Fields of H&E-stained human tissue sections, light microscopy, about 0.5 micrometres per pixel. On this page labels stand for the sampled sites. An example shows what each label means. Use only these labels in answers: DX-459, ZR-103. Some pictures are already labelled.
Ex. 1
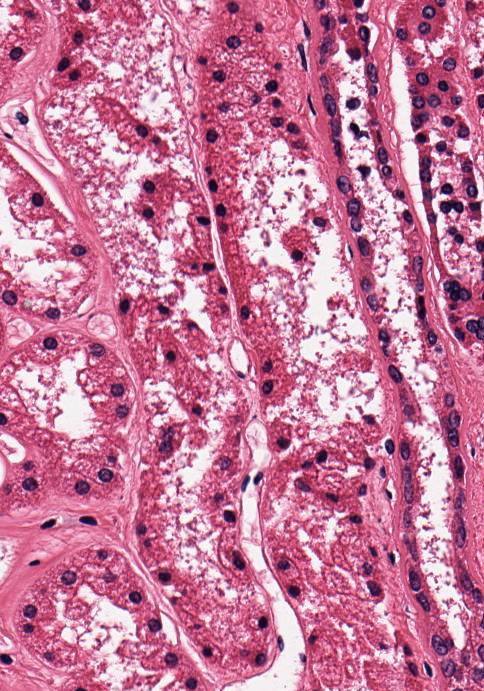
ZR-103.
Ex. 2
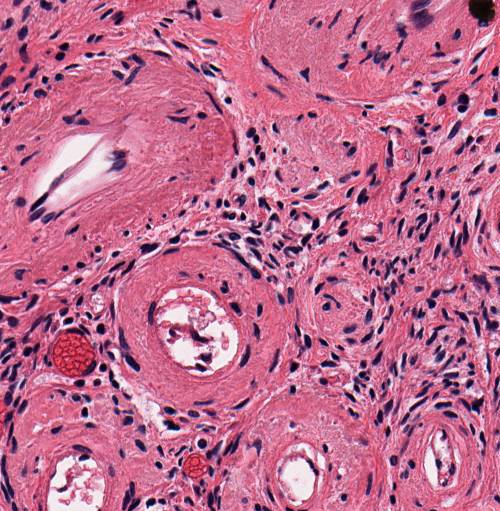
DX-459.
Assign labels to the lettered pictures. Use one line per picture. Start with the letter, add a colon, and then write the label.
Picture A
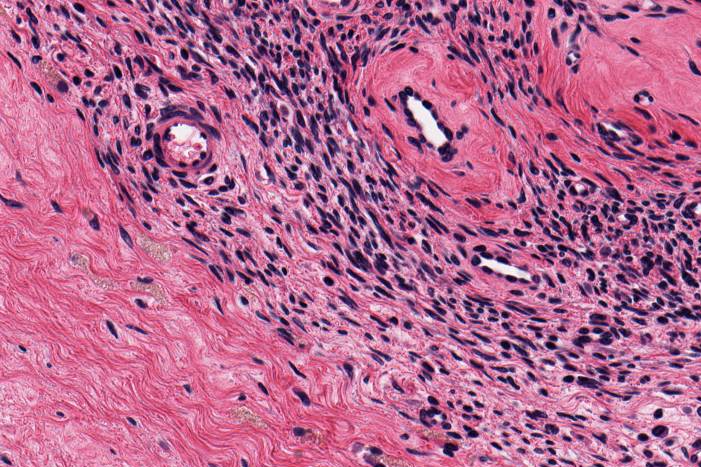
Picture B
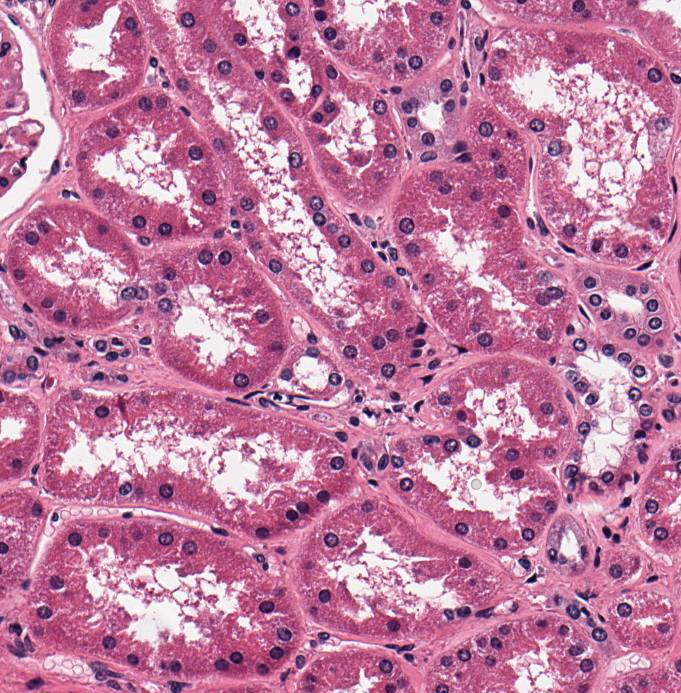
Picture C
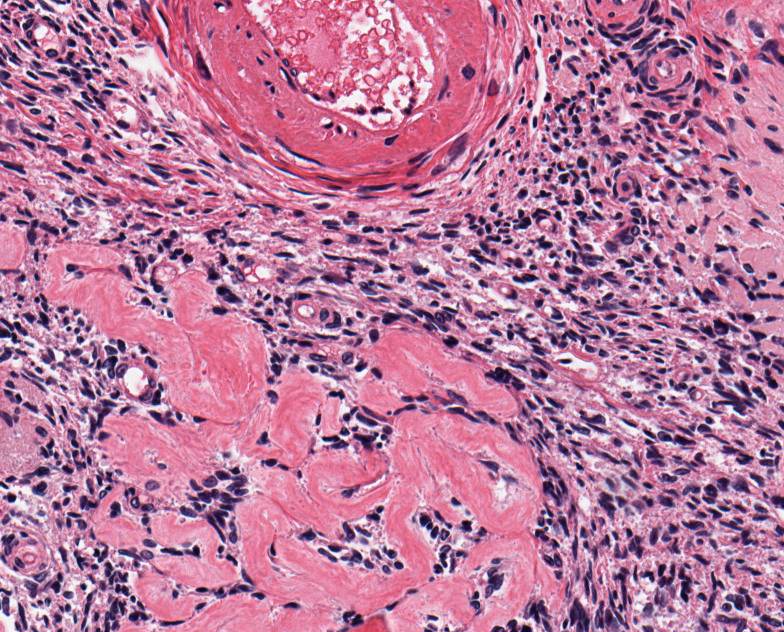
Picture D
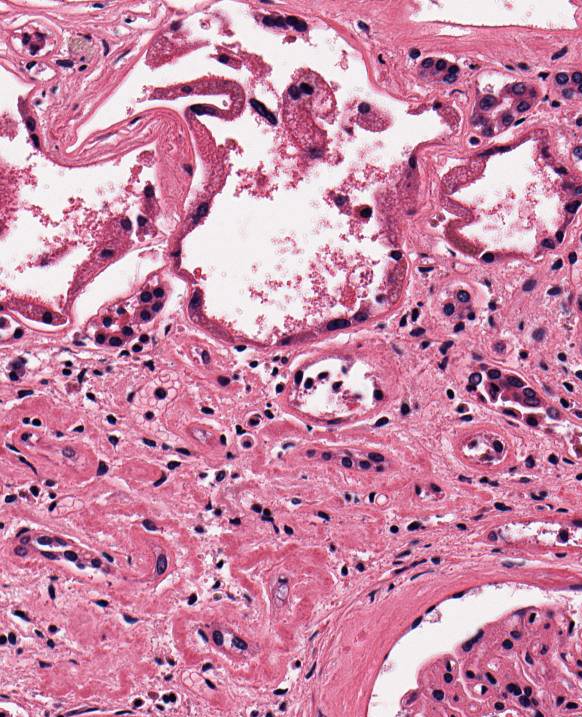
A: DX-459.
B: ZR-103.
C: DX-459.
D: ZR-103.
